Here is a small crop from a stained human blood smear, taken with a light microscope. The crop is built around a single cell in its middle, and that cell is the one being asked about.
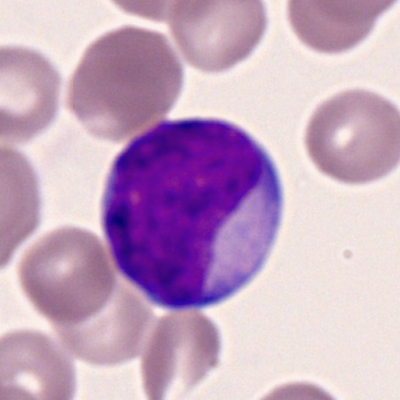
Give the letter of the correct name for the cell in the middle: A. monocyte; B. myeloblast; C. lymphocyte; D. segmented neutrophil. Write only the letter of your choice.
B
